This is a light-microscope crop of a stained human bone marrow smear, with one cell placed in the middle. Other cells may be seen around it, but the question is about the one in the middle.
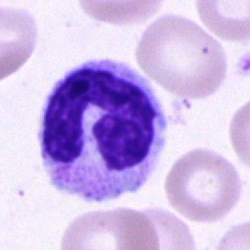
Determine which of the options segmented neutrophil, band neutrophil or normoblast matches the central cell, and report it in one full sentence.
The centrally positioned cell in the crop represents a band neutrophil.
